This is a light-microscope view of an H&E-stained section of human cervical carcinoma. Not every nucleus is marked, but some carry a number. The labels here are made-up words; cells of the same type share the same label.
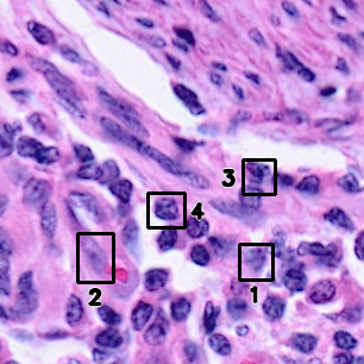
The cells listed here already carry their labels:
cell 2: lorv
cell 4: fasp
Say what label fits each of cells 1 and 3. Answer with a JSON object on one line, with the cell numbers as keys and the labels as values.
{"1": "fasp", "3": "fasp"}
